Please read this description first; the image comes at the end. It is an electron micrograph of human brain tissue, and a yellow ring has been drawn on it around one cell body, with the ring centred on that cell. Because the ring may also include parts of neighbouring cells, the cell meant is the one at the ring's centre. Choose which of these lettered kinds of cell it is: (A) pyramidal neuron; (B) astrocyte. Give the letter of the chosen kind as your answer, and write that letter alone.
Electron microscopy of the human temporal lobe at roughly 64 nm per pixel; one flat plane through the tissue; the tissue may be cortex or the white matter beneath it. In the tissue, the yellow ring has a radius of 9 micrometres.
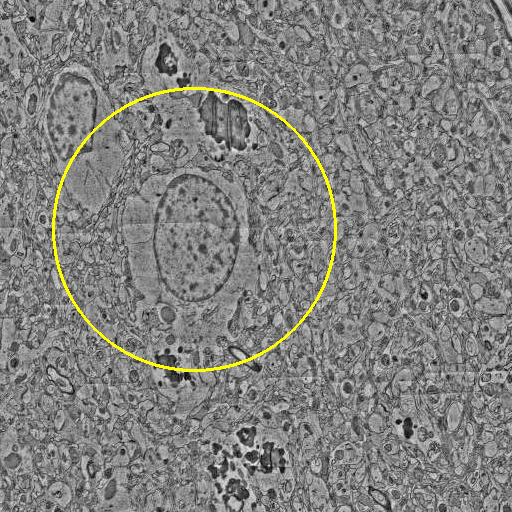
B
